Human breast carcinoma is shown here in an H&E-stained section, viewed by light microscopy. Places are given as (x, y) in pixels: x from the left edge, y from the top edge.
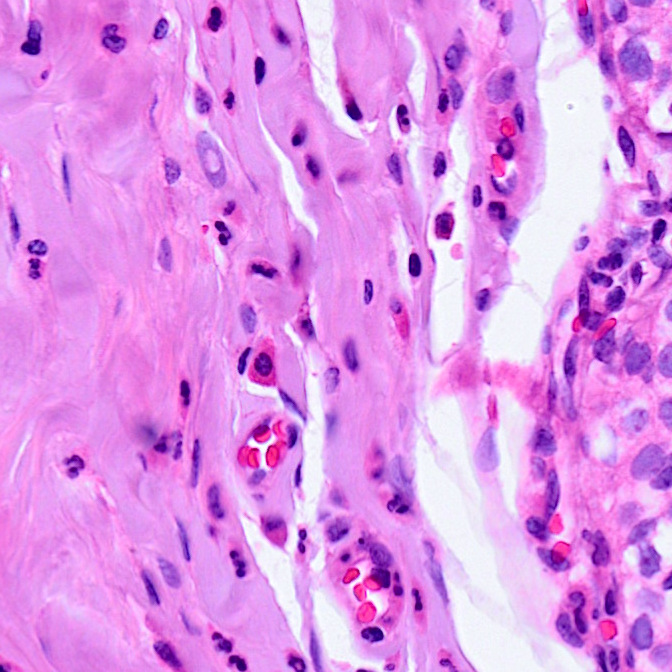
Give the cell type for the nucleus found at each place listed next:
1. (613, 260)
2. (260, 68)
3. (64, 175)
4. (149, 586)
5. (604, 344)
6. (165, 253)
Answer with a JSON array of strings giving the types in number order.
["lymphocyte", "lymphocyte", "fibroblast", "fibroblast", "endothelial cell", "fibroblast"]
